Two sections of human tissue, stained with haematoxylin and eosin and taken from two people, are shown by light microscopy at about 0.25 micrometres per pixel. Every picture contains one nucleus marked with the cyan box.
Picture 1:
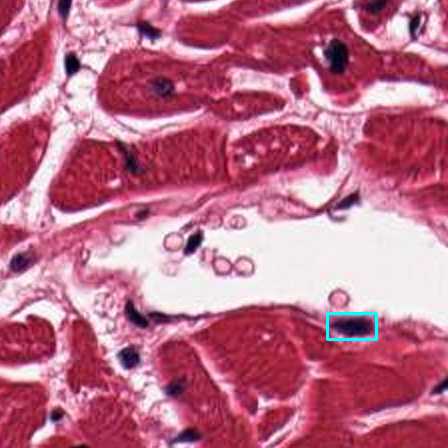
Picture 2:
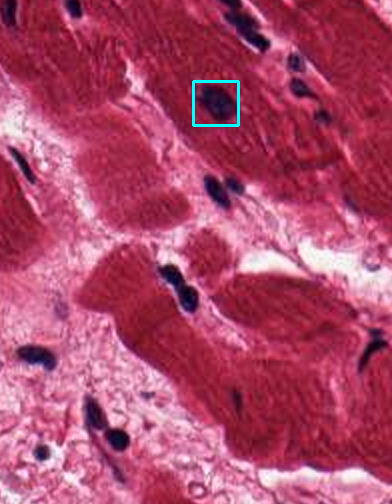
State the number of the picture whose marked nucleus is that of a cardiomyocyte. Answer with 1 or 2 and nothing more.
2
